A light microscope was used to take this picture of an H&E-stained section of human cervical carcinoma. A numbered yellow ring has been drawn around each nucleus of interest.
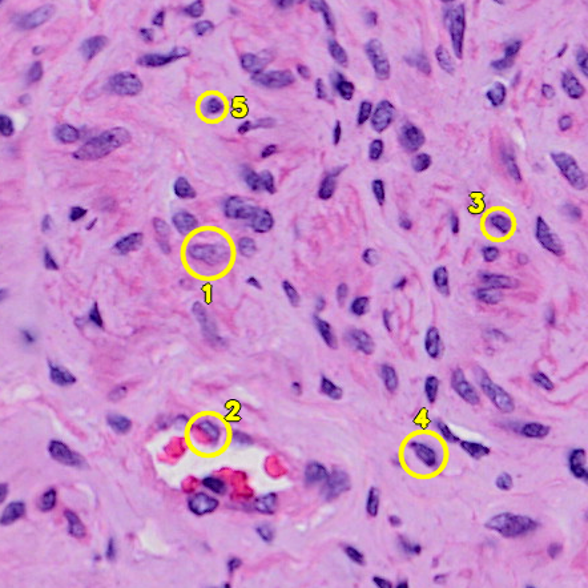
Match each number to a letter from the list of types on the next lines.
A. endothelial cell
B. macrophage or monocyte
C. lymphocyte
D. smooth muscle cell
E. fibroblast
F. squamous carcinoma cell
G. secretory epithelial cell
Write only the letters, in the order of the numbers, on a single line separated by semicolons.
D; A; D; E; D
